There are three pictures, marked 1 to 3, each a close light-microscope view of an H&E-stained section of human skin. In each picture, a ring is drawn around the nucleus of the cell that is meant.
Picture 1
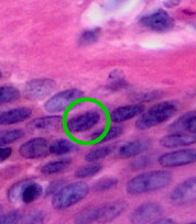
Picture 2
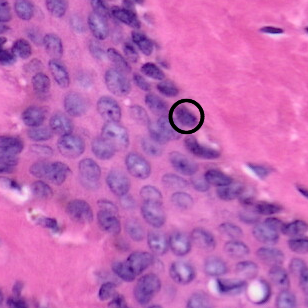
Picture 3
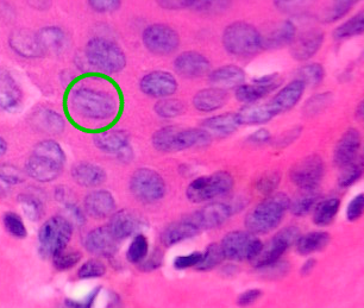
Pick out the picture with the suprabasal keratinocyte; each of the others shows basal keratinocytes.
3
